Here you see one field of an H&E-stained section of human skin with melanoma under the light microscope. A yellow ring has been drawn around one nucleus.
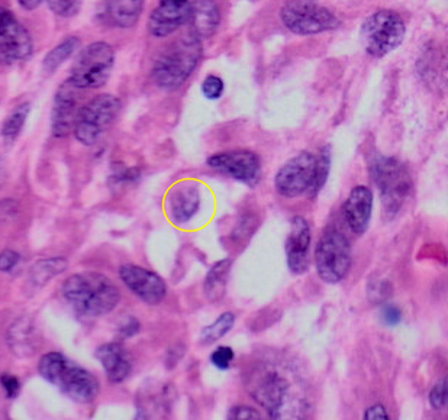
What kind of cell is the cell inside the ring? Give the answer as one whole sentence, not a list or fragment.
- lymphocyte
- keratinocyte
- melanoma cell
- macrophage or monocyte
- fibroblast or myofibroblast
In the tissue at hand, the cell inside the ring is a melanoma cell.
